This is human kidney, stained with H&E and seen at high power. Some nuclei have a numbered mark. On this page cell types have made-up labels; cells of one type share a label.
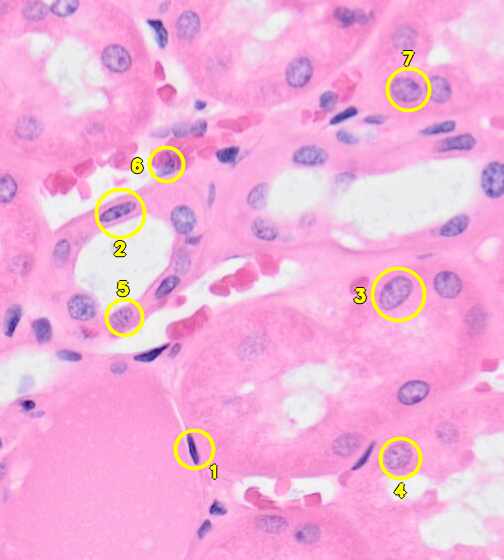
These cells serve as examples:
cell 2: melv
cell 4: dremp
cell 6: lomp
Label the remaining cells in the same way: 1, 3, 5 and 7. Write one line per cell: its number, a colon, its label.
1: lomp
3: dremp
5: melv
7: dremp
